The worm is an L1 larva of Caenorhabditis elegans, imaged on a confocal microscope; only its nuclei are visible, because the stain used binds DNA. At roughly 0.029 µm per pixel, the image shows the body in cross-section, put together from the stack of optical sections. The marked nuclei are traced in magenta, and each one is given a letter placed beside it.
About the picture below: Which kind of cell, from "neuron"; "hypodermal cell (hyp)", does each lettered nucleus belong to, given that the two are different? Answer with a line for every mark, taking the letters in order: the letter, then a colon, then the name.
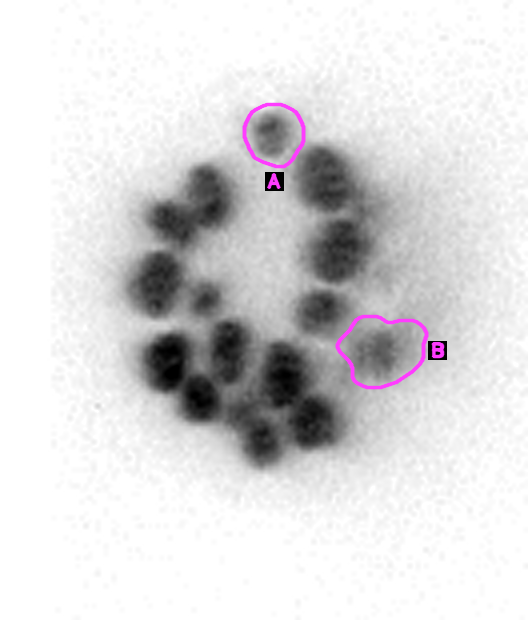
A: hypodermal cell (hyp)
B: neuron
